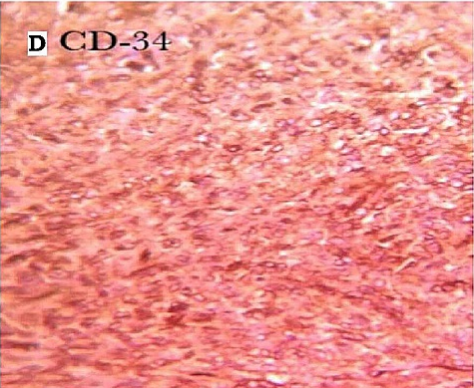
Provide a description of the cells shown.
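This is a densely cellular tumor in which nearly all cells take up a diffuse brown-orange stain. The cells are closely packed, with small, darker nuclei and indistinct borders. In places they line up in elongated streams.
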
